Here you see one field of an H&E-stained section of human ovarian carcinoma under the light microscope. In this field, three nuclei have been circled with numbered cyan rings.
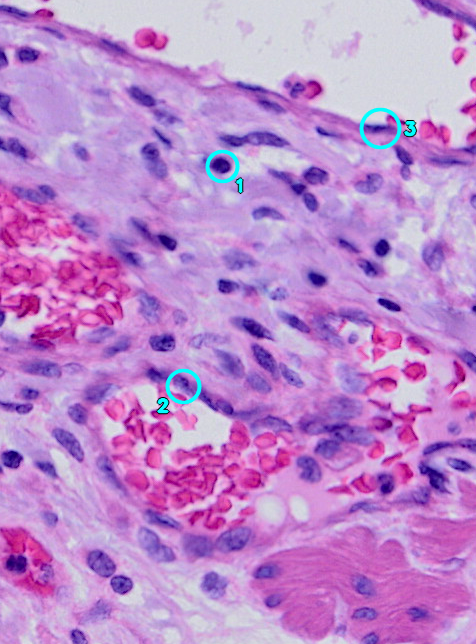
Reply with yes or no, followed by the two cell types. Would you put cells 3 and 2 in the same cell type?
Yes, the cells bearing numbers 3 and 2 are both endothelial cells.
